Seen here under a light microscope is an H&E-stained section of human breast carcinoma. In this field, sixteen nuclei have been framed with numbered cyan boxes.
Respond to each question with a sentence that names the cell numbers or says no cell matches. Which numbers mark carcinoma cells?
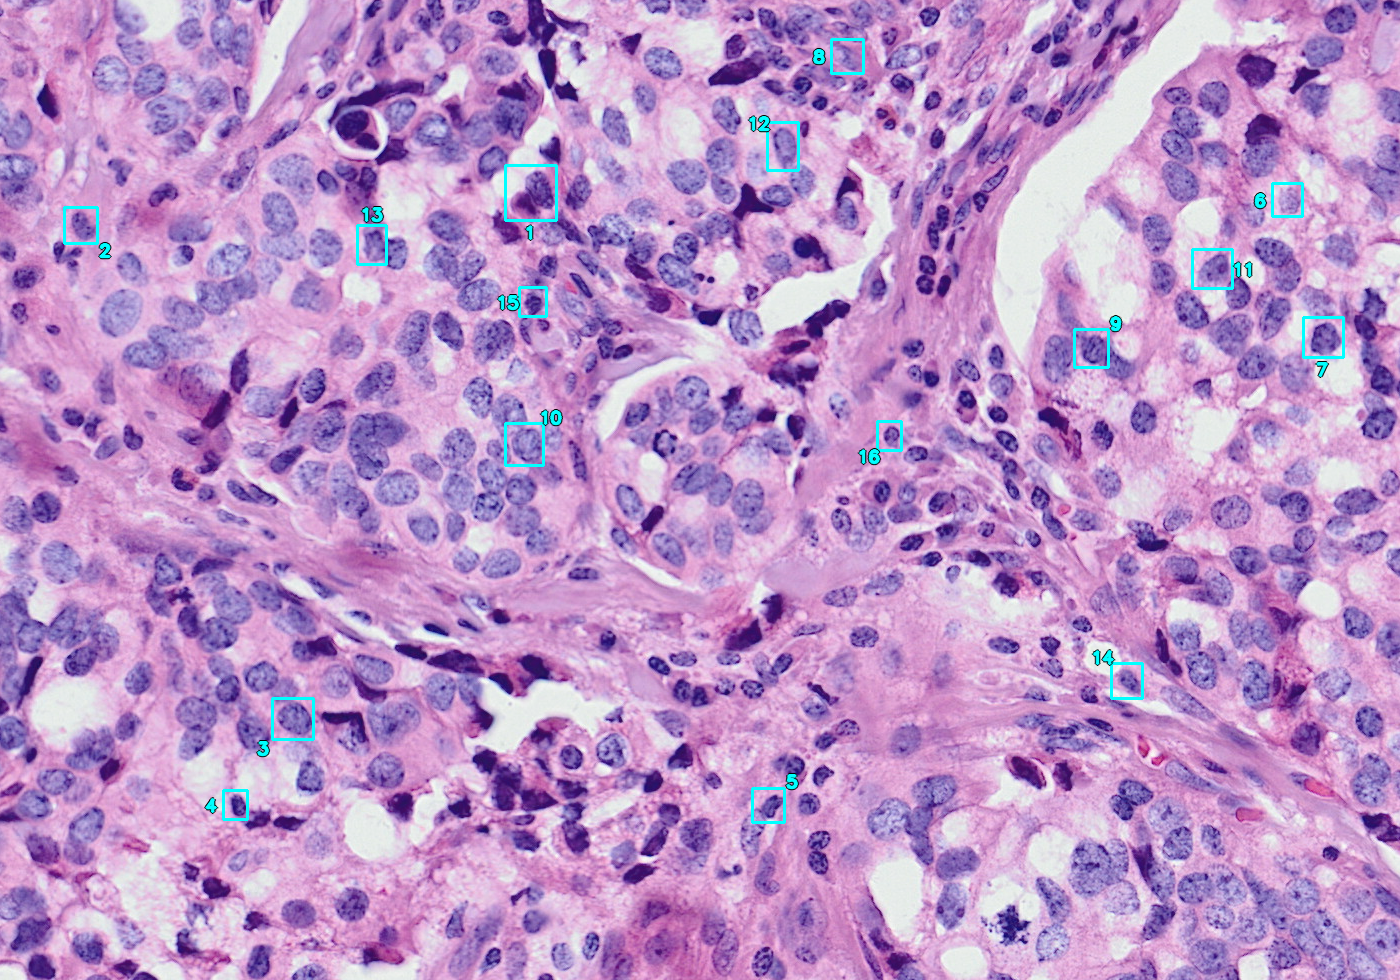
The cells the numbers 1, 3, 6, 7, 9, 10, 11, 12 and 13 point to are carcinoma cells.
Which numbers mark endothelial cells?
Only cell 8 is an endothelial cell; none of the other numbered cells is.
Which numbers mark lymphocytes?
The cells shown with numbers 4, 5, 15 and 16 are lymphocytes.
